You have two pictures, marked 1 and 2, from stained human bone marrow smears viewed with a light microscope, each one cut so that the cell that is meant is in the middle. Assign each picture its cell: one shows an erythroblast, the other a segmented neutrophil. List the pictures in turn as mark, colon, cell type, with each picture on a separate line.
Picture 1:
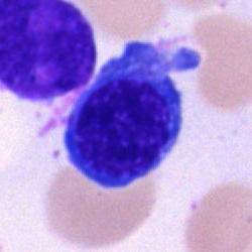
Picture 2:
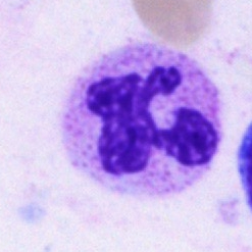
1: erythroblast
2: segmented neutrophil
